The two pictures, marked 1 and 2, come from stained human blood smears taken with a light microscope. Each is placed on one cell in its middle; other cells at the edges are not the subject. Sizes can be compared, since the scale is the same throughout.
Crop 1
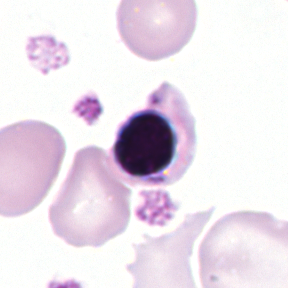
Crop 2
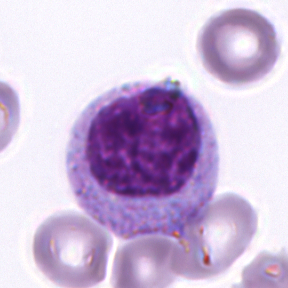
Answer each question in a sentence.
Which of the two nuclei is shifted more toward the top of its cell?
The nucleus in crop 2 lies further toward the top of its cell.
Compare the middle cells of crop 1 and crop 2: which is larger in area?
It is the cell in crop 2, about 3 times as large in area as the cell in crop 1.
